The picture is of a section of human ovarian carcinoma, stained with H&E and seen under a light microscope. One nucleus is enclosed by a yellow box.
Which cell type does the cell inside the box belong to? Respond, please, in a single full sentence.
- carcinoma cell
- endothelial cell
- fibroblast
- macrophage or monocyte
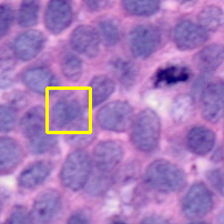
As far as its identity is concerned, the cell inside the box is a carcinoma cell.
